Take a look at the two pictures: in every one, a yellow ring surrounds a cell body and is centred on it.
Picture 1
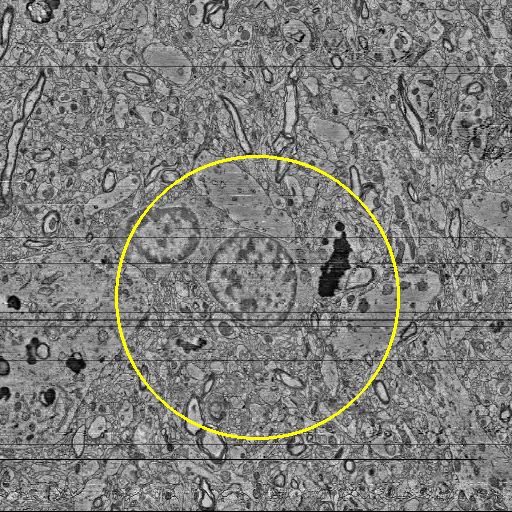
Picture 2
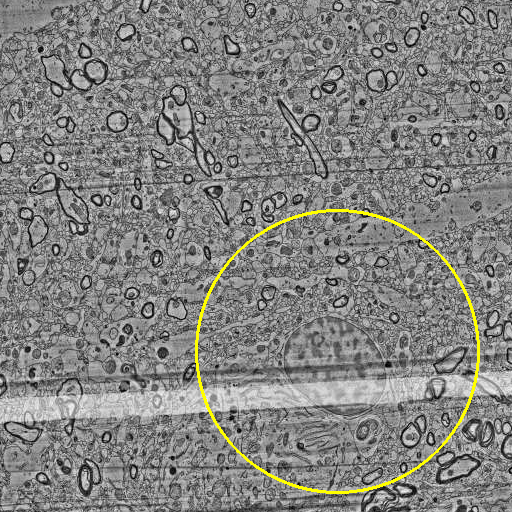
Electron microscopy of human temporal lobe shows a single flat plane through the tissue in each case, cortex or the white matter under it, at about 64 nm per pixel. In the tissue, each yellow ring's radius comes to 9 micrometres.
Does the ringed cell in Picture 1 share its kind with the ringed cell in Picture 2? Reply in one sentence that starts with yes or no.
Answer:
No, the two centred cells, one per picture, are of two kinds.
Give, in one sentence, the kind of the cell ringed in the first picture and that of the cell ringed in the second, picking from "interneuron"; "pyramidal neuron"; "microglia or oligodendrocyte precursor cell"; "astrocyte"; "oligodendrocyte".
For the first picture it is an oligodendrocyte; for the second, a microglial cell or oligodendrocyte precursor cell.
